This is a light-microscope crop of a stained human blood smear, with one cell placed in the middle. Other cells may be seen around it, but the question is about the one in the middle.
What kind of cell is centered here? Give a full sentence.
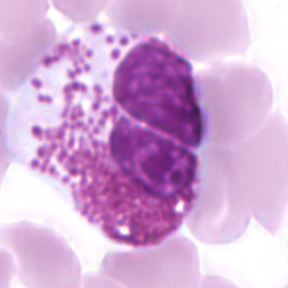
Framed in the middle of the crop is an eosinophil.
